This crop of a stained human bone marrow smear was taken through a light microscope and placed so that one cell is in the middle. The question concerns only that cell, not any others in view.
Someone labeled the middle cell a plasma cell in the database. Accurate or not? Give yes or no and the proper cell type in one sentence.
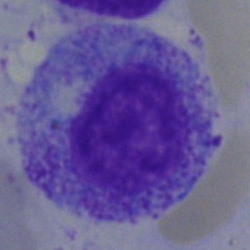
No, instead of a plasma cell, the centred cell represents a promyelocyte.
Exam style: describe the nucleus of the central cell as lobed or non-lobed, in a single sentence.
The nucleus is one compact mass, round, oval or kidney-shaped in outline.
